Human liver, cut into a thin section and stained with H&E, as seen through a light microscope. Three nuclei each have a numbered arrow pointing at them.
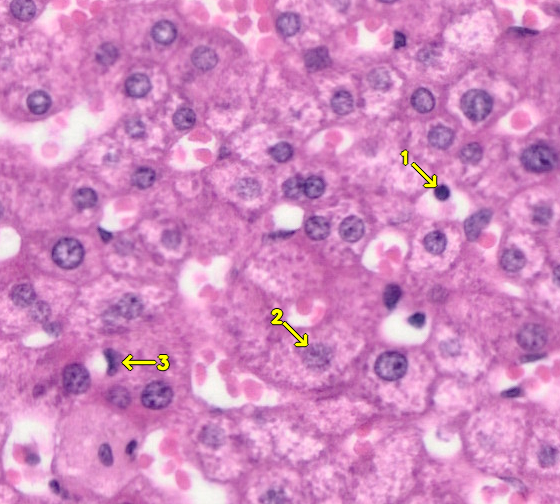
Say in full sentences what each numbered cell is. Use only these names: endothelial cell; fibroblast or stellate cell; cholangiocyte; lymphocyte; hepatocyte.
Cell 1 is a lymphocyte. Cell 2 is a hepatocyte. Cell 3 is an endothelial cell.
